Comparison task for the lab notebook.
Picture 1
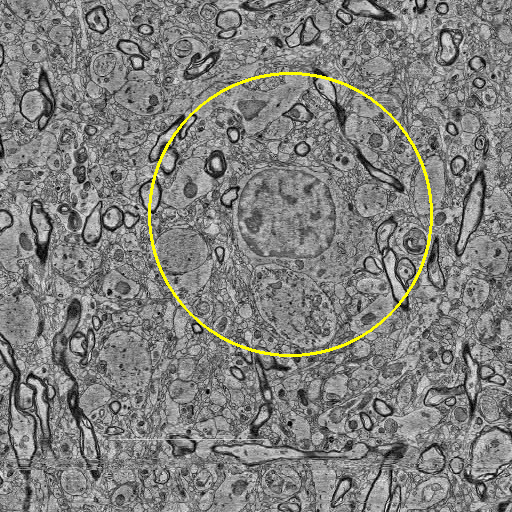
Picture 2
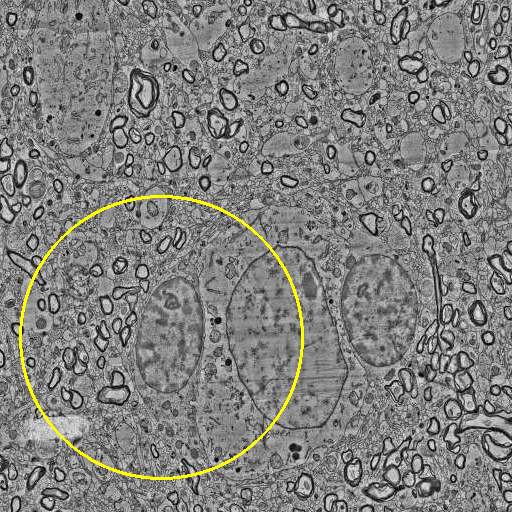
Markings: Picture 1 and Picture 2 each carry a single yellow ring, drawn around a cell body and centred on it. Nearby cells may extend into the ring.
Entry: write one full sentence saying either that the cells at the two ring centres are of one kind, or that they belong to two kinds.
The cells sitting at the ring centres in Picture 1 and Picture 2 are of one kind.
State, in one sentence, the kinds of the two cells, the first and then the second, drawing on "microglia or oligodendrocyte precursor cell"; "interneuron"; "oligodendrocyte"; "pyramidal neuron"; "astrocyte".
In each picture the ringed cell is an oligodendrocyte.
